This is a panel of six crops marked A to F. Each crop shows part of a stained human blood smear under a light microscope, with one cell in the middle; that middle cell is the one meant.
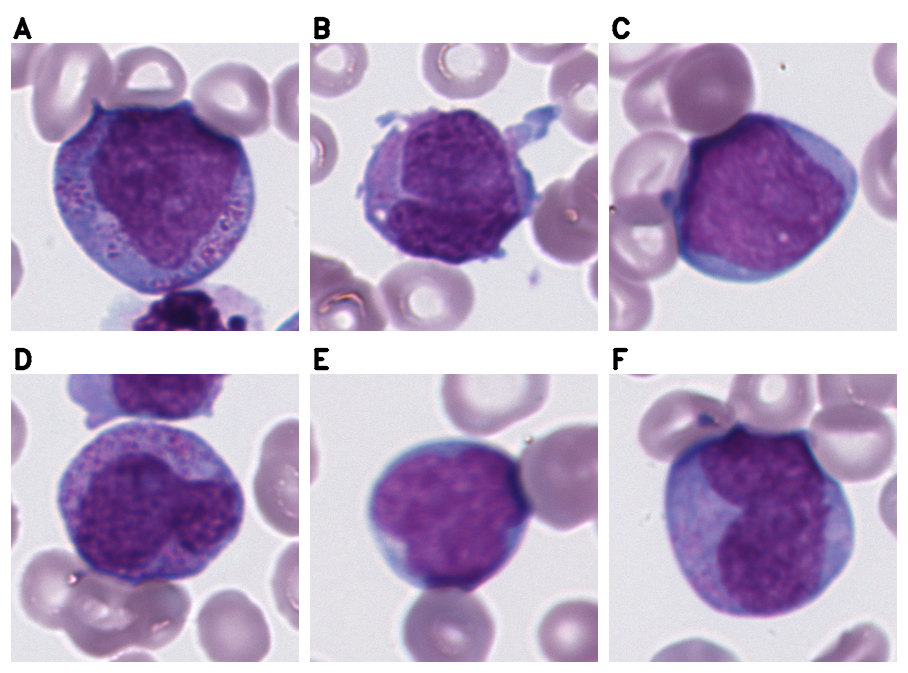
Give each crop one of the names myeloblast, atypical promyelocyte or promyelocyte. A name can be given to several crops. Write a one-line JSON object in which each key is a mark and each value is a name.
{"A": "promyelocyte", "B": "atypical promyelocyte", "C": "myeloblast", "D": "atypical promyelocyte", "E": "myeloblast", "F": "promyelocyte"}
